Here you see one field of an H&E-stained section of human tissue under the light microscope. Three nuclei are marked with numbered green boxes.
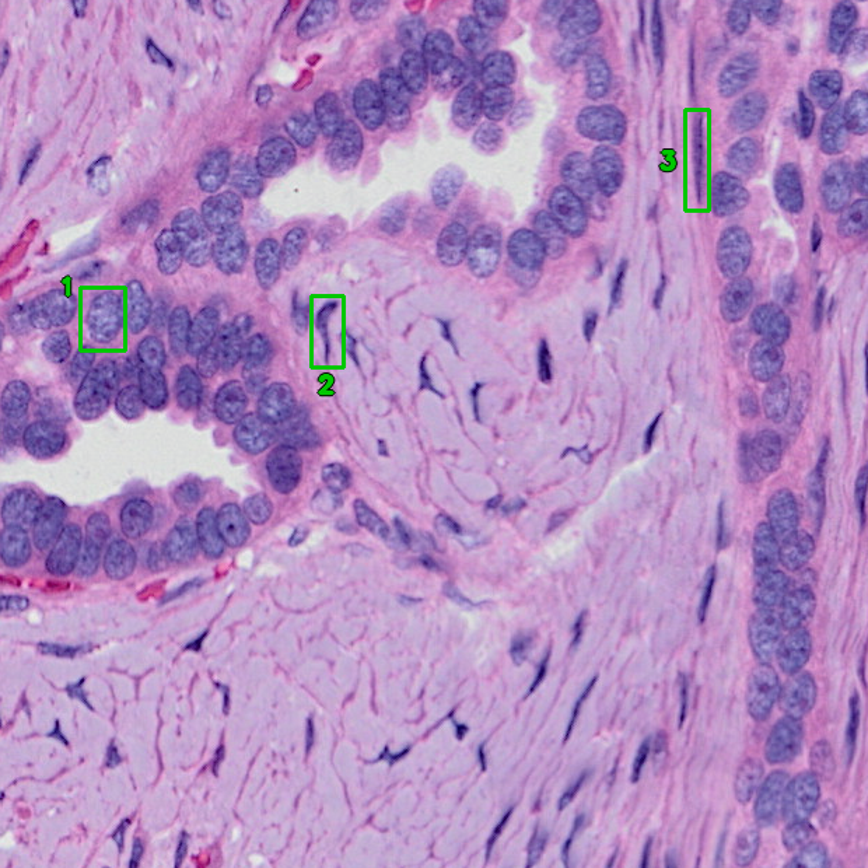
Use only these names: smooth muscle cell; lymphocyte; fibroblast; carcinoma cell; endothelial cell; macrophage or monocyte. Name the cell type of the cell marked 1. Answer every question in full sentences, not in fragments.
The cell indicated by marker 1 is a carcinoma cell in this section.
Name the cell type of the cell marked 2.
To a fibroblast belongs the nucleus marked 2.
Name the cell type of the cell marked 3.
The cell bearing label 3 corresponds to a fibroblast.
